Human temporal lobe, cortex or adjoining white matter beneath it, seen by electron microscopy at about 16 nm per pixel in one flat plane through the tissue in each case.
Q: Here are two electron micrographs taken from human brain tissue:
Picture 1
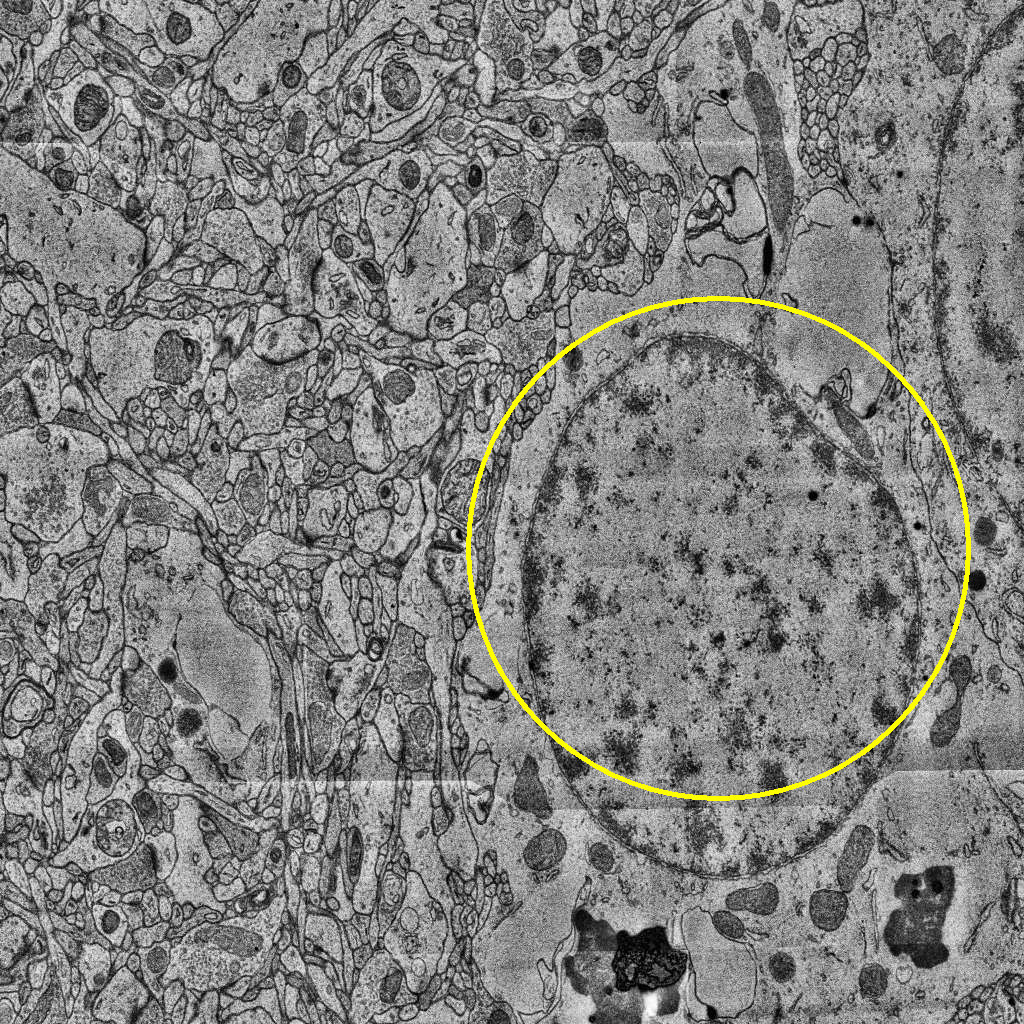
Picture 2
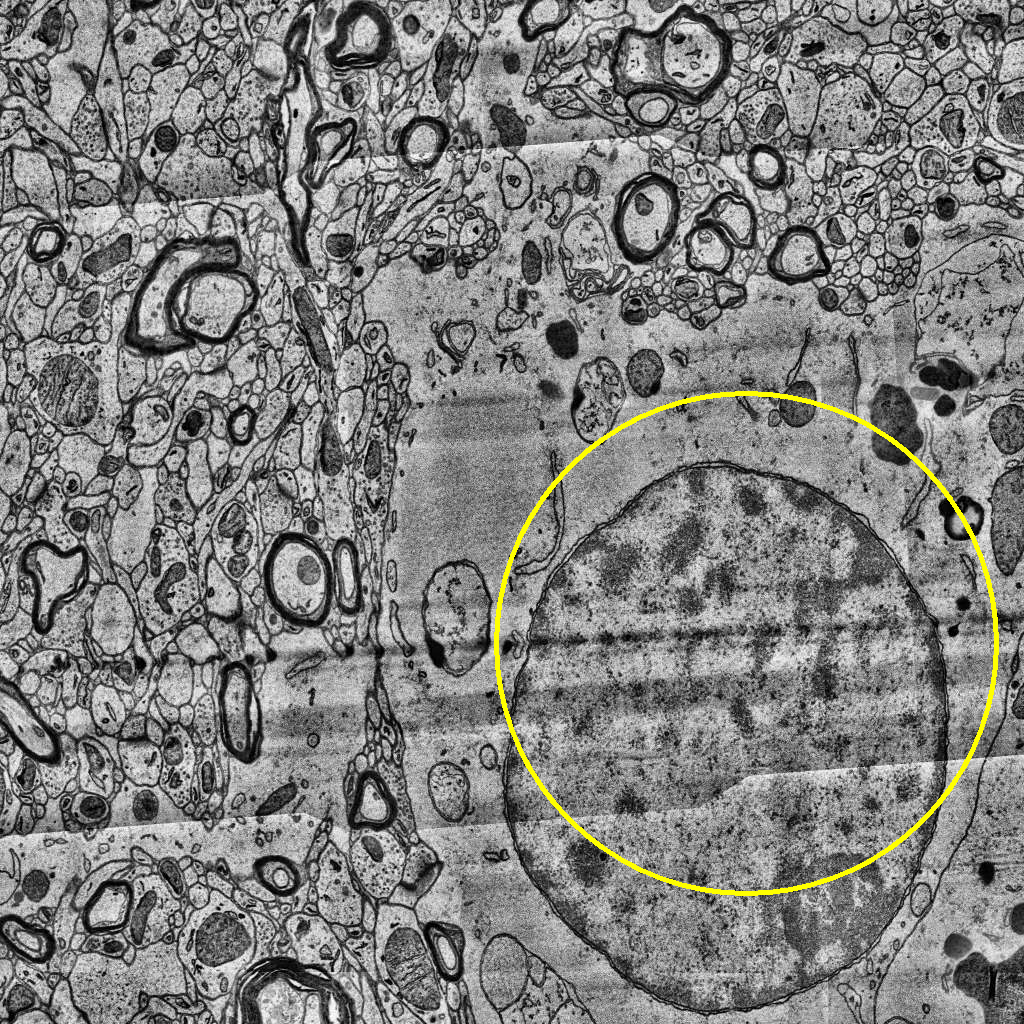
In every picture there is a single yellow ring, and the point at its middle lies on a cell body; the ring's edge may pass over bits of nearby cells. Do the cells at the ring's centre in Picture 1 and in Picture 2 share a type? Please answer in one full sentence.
Yes, the cells at the ring's centre in Picture 1 and Picture 2 share a type.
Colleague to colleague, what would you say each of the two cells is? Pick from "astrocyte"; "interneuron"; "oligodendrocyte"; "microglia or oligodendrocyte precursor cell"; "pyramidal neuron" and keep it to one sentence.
Both rings mark an astrocyte, one in each picture.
